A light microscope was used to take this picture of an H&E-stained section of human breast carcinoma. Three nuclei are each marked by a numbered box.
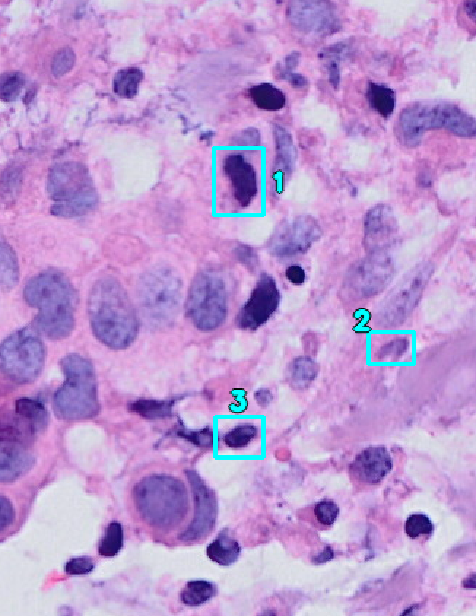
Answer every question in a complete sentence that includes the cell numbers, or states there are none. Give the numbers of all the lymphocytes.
Only nucleus 3 belongs to a lymphocyte; the other numbered nuclei do not.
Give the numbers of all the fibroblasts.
Cell 2 is a fibroblast and is the only numbered cell of that kind.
